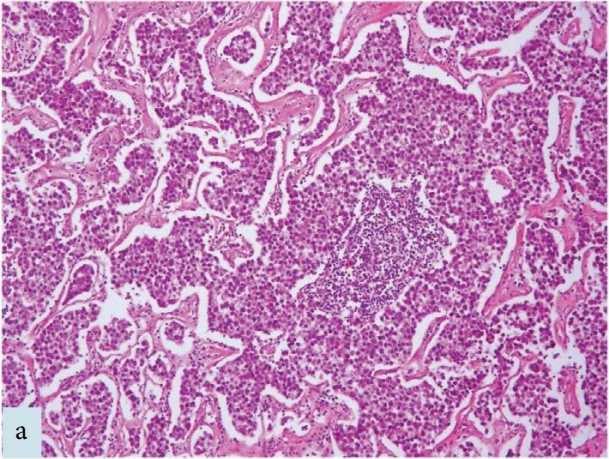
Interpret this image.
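At low power this tumor forms nests and sheets of closely packed cells that tend to fall apart, leaving clefts between them. Thin pink fibrovascular septa run between the nests. In the middle sits a dense collection of small, dark lymphocytes, and more are strung along the septa. The tumor cells themselves have purple nuclei and pale cytoplasm at this magnification.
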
